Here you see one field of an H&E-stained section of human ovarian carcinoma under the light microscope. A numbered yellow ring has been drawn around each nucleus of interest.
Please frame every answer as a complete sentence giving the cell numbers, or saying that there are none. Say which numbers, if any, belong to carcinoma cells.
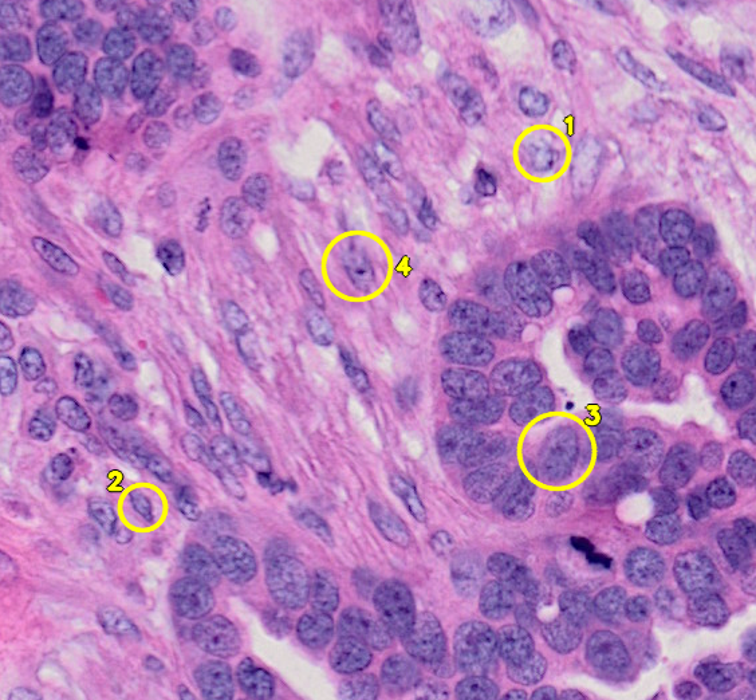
Among the marked cells, cell number 3 alone is a carcinoma cell.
